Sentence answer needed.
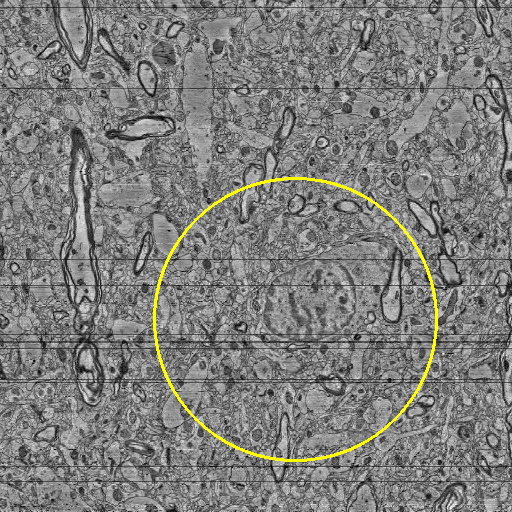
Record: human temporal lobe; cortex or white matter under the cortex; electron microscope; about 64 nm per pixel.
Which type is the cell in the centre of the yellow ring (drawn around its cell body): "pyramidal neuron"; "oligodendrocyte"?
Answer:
In the centre of the yellow ring is an oligodendrocyte.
